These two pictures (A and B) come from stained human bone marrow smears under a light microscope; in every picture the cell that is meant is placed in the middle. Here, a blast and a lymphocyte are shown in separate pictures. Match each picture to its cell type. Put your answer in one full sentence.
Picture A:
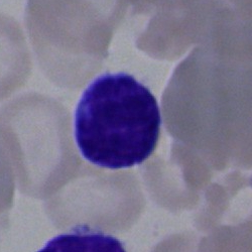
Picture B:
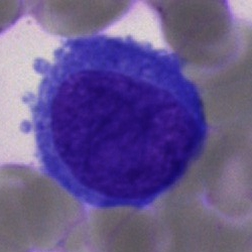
Picture B shows a blast, while picture A shows a lymphocyte.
